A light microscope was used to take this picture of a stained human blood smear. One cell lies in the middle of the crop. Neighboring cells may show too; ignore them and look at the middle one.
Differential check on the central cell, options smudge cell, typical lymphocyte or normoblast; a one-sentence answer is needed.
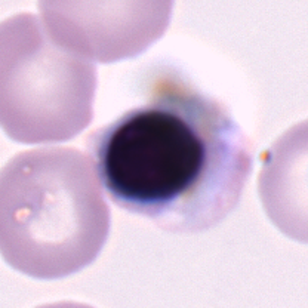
For this crop, the cell in the middle is a normoblast.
